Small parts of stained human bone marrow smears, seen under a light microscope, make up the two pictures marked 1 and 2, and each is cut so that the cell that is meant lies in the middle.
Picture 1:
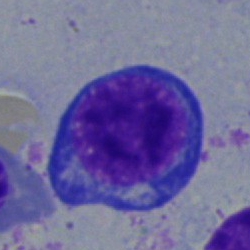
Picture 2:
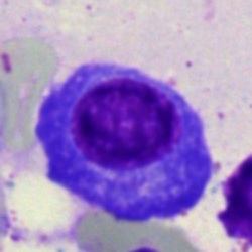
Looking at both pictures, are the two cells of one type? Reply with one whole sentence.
No; the cell in picture 1 is a proerythroblast, while the one in picture 2 is a plasma cell.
